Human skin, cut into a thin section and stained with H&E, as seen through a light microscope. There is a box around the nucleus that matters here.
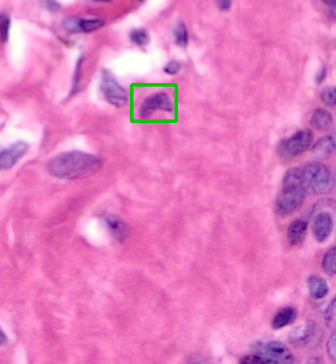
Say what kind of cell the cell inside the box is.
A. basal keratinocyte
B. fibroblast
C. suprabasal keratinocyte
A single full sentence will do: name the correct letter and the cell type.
Right answer, option B: the cell inside the box is a fibroblast.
